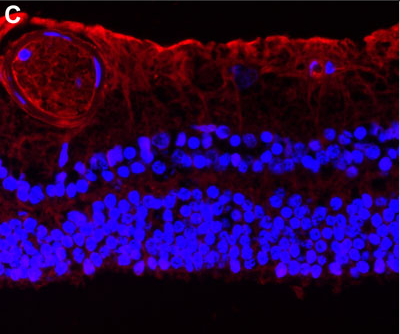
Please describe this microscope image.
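This is a section of retina with its nuclei in blue arranged in layers. At the bottom lies the thick outer nuclear layer of small, round, densely packed nuclei, and above it, across a narrow nucleus-poor band, is the thinner inner nuclear layer. Toward the top only scattered nuclei occur in the ganglion cell layer, separated from the inner nuclear layer by a broad nucleus-poor zone. Red labelling forms a fine fibrous meshwork throughout the inner layers, is bright along the inner surface, and outlines a large ring-shaped structure at the upper left. Red also lies between the nuclei of the outer nuclear layer.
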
